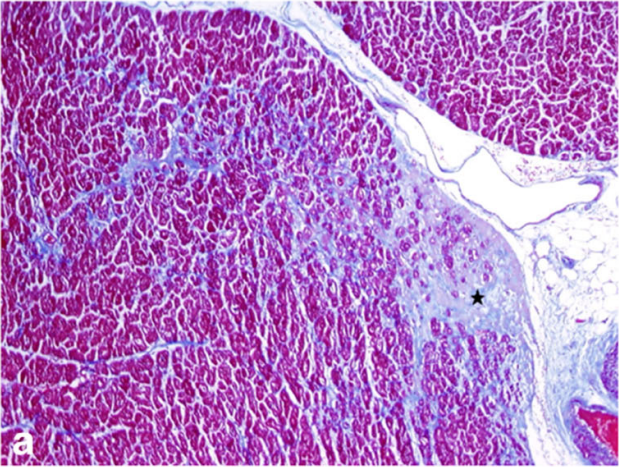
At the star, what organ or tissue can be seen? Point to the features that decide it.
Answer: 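Fibrous tissue. The star lies in a pale blue area. Muscle fibres in that area are sparse and scattered. The area borders the outer connective tissue near a vessel.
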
